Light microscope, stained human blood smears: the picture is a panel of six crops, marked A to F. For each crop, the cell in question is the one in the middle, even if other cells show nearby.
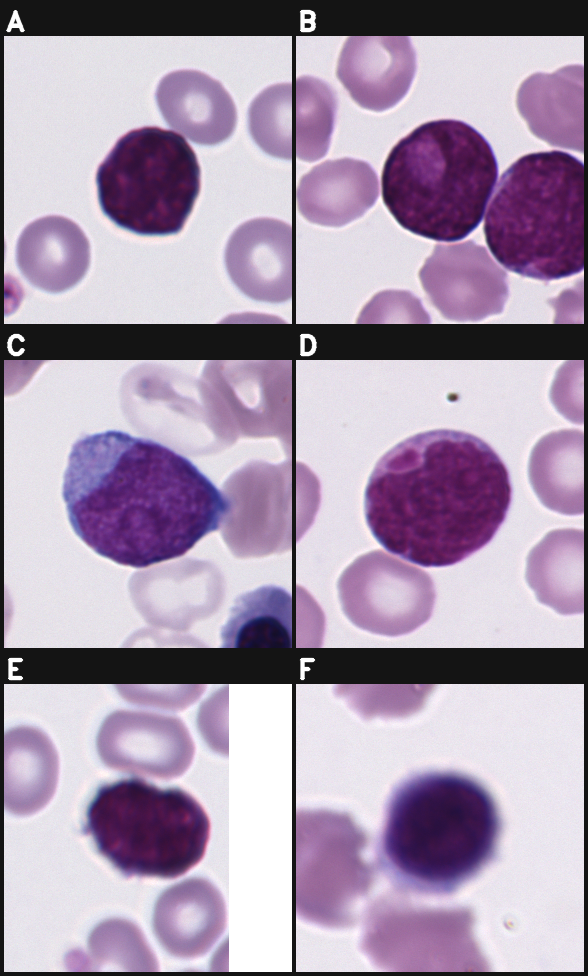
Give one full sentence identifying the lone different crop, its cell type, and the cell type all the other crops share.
Crop F is the only crop with a hairy cell, the others all showing blasts.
